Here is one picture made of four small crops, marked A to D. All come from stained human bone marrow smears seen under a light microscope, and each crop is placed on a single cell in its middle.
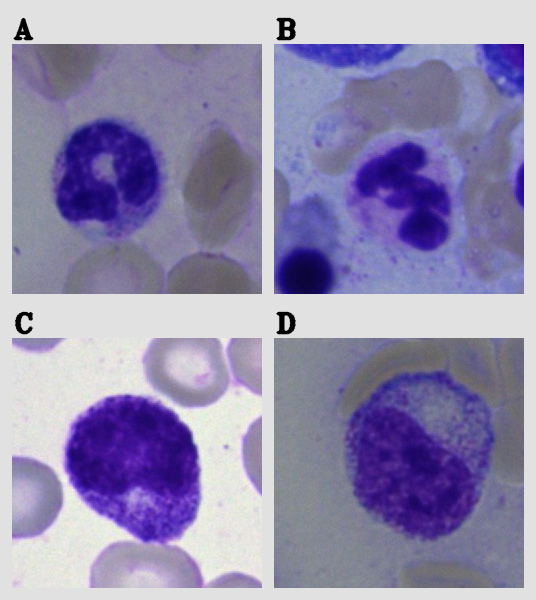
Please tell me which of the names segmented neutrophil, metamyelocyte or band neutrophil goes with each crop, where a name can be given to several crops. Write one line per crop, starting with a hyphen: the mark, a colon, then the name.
- A: band neutrophil
- B: segmented neutrophil
- C: metamyelocyte
- D: metamyelocyte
